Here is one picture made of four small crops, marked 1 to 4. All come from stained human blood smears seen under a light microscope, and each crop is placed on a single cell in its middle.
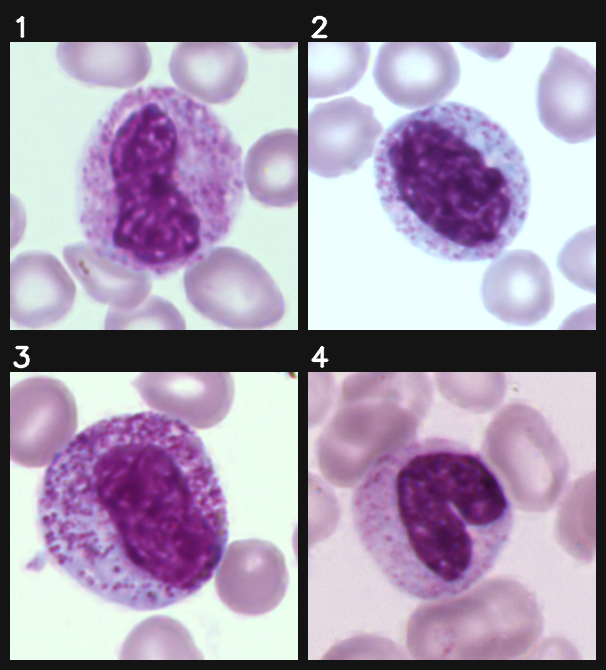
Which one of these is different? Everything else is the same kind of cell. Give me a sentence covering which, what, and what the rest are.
Crop 4 is the only crop with a band neutrophil, the others all showing metamyelocytes.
